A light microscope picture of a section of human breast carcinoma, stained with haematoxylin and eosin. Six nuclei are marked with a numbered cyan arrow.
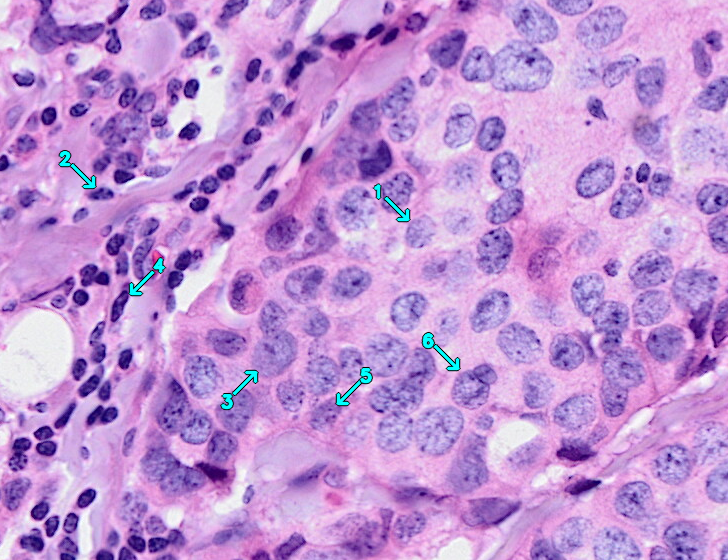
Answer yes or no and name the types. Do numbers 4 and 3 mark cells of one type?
No, in contrast to cell 3, which is a carcinoma cell, cell 4 is a lymphocyte.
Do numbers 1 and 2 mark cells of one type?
No, cell 1 is a carcinoma cell, while a lymphocyte is what cell 2 is.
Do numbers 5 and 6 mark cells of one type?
Yes, cells 5 and 6 both belong to the category of carcinoma cells.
